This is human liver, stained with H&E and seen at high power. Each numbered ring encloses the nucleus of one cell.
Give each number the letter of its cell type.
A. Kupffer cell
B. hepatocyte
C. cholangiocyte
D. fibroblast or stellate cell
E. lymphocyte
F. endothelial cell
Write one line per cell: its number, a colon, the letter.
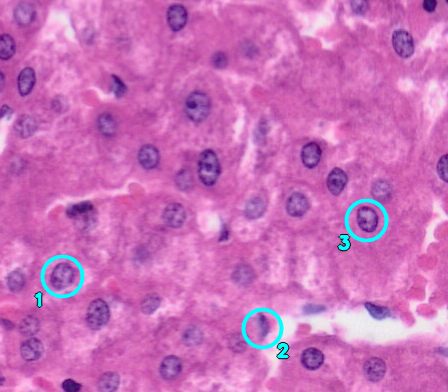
1: B
2: F
3: B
